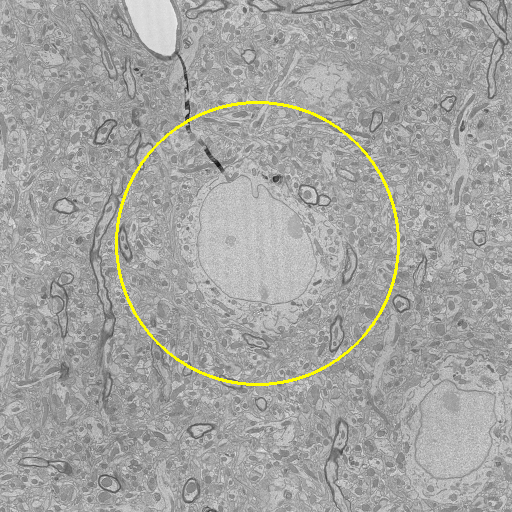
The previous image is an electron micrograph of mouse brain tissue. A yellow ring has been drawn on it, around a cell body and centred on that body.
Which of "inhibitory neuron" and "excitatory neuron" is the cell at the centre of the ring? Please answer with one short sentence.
The cell body at the centre of the ring belongs to an excitatory neuron.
